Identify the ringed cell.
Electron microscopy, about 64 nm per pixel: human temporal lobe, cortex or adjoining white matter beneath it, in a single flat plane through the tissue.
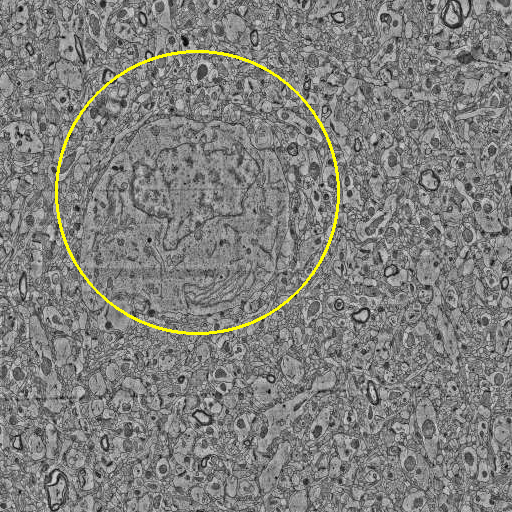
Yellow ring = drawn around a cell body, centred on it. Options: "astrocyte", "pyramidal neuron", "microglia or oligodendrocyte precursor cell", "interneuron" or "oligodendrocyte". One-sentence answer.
What the ring is centred on is an interneuron.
